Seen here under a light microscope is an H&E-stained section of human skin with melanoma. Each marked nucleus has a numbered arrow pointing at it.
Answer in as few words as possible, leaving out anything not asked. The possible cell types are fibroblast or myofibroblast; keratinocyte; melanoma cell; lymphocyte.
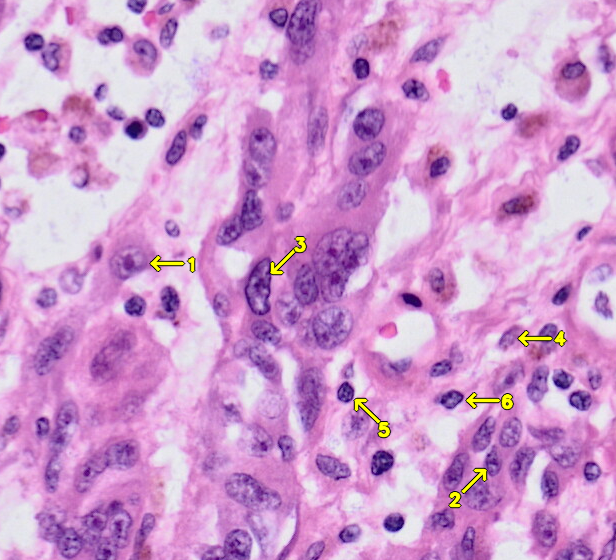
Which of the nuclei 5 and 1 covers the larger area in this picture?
1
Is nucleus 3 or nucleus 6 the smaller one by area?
6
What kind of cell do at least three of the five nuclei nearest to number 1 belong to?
lymphocyte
